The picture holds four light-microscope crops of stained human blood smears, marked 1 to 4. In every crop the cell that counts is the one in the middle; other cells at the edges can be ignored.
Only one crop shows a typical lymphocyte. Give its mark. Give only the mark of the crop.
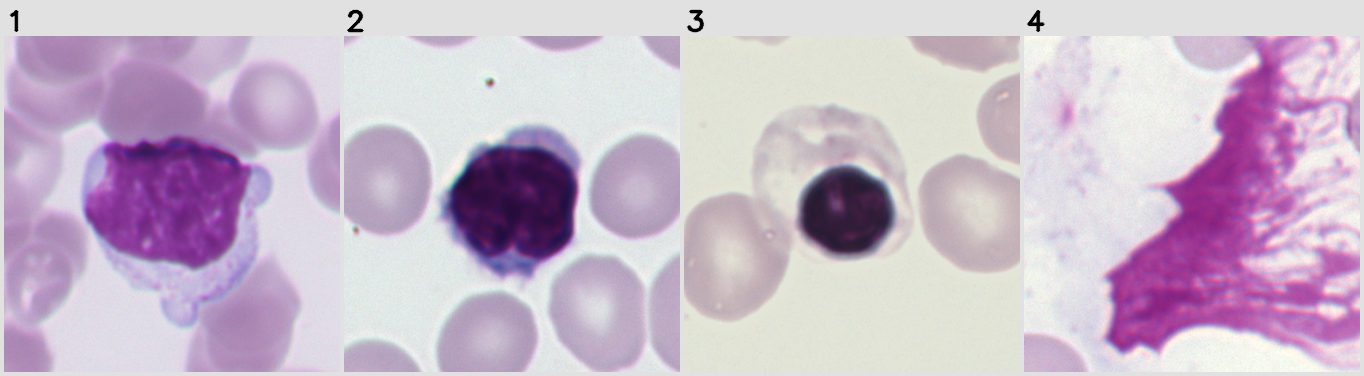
2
